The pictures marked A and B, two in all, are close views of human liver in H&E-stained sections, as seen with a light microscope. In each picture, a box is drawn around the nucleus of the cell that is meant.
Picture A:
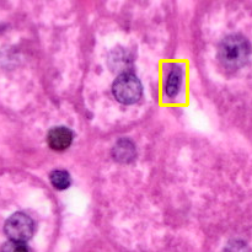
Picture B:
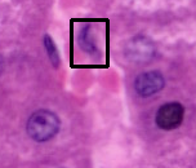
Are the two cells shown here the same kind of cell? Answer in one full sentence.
Yes, both cells are Kupffer cells.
